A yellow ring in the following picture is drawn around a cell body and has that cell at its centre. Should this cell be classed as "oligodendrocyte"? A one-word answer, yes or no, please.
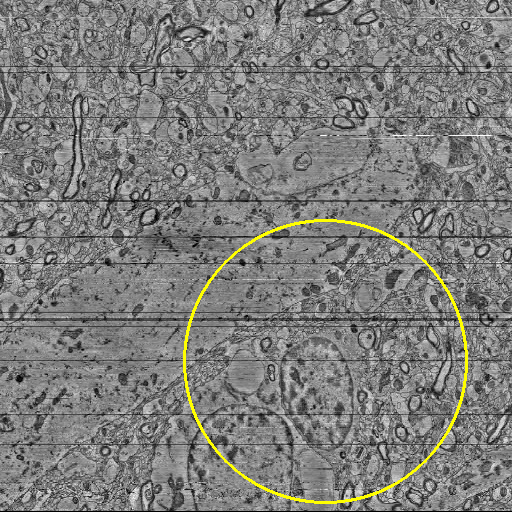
Yes, it is of that kind.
